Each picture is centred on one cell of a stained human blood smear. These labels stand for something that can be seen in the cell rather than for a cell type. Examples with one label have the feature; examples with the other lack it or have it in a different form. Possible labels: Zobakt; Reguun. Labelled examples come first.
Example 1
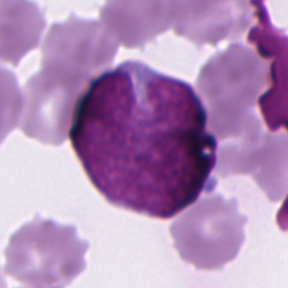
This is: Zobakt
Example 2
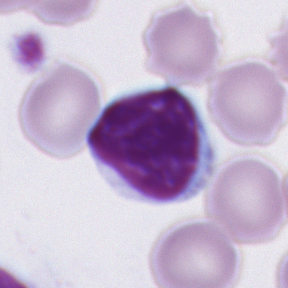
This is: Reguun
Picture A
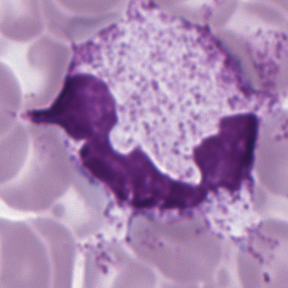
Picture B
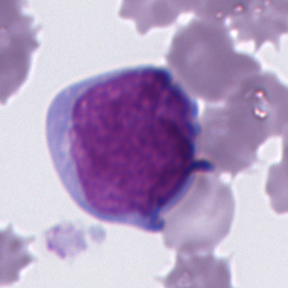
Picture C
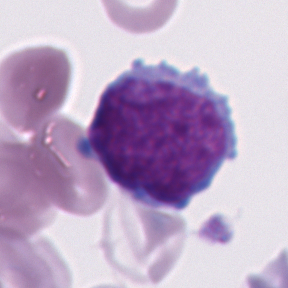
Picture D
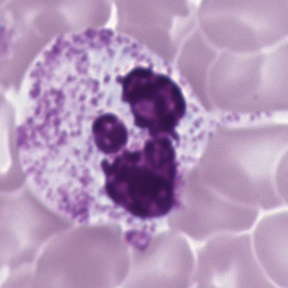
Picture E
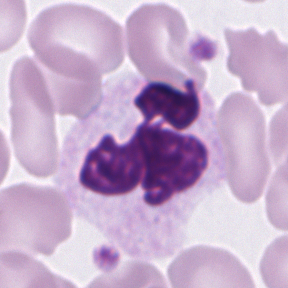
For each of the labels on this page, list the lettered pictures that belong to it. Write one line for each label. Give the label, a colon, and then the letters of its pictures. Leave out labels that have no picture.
Zobakt: A, B, C, D
Reguun: E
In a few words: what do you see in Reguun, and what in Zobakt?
In Reguun: smooth outline. In Zobakt: ragged outline or projections.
